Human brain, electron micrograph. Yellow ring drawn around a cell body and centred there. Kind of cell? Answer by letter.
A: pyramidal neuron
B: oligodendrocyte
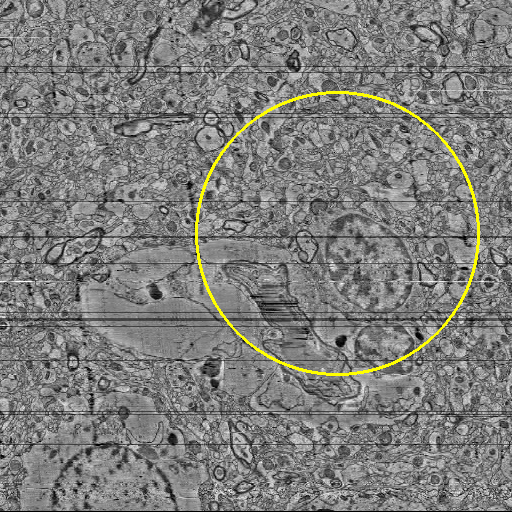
B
